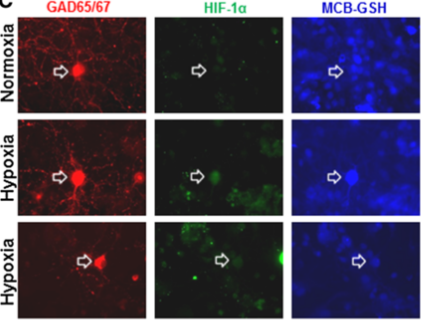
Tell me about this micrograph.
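Blue fluorescence fills the bodies of many crowded cells in the background. In the middle row the marked soma is distinctly brighter in blue than the surrounding cells and carries a green signal in the same place. In the top row the green is faint and dotted, with scattered points across the field. In the bottom row the marked soma is smaller and weakly green.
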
